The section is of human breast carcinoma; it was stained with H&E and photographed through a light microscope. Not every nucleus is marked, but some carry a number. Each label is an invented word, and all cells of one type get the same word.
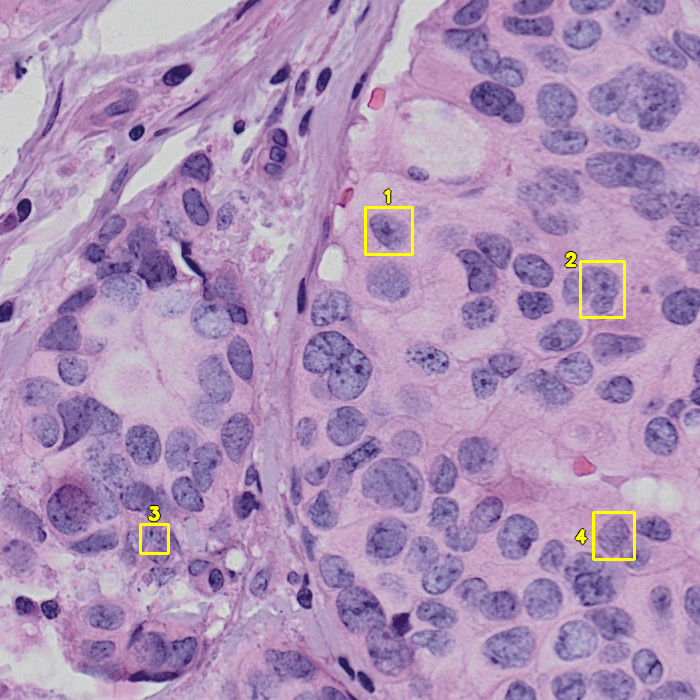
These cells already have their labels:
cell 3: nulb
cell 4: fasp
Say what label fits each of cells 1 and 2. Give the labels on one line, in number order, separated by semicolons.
fasp; fasp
